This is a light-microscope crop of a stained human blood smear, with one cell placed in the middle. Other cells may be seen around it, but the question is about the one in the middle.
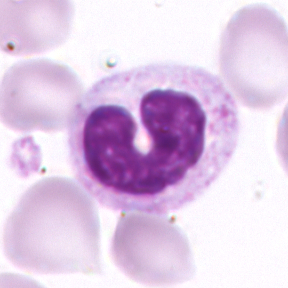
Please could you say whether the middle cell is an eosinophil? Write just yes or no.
no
